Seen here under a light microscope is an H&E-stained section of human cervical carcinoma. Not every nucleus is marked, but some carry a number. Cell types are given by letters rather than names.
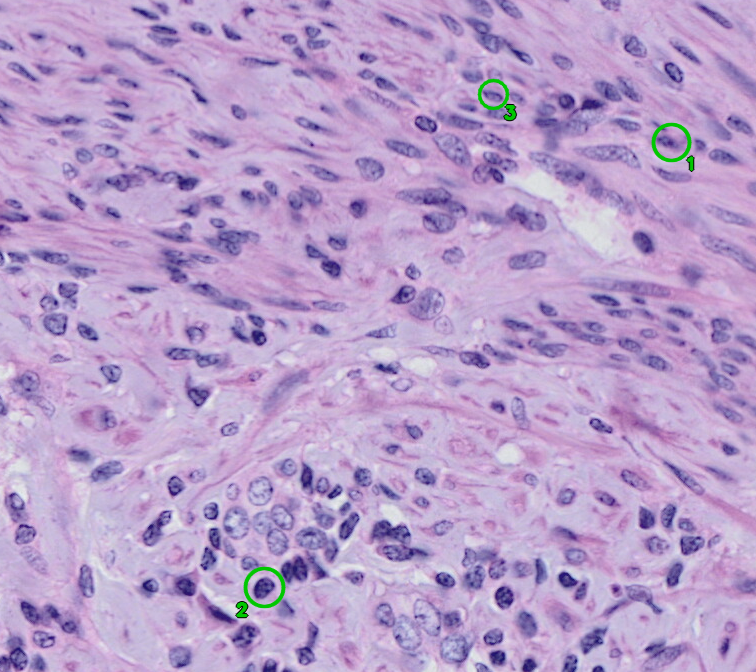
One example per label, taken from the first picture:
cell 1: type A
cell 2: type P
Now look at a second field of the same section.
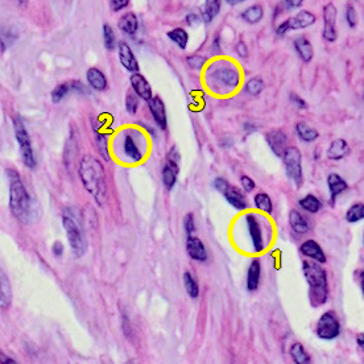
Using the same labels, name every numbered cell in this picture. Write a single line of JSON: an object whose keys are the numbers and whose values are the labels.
{"1": "type P", "2": "type P", "3": "type A"}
